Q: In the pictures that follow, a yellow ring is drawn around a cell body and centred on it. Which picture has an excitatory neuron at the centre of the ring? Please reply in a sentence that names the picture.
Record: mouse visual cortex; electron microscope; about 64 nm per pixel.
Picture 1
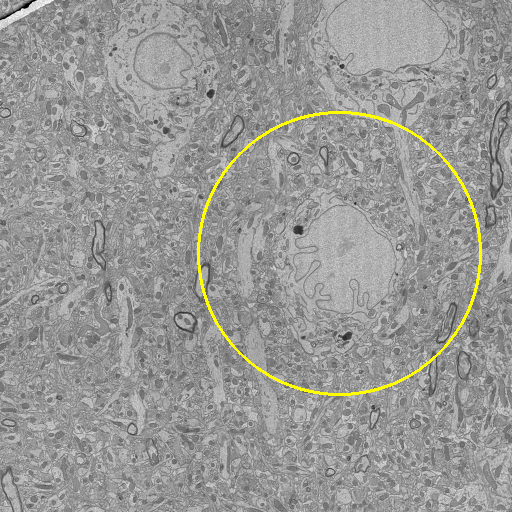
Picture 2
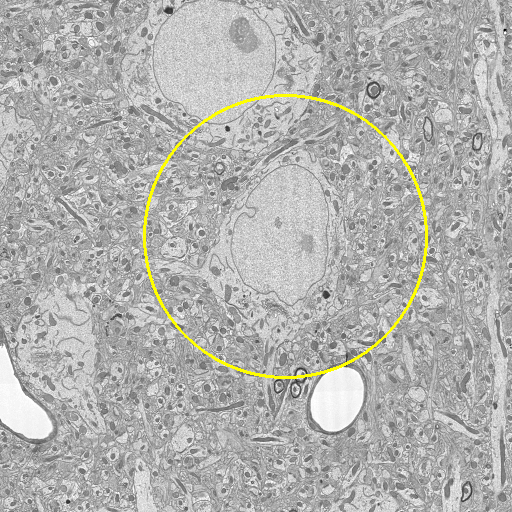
Picture 2 shows it at the centre of its ring.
